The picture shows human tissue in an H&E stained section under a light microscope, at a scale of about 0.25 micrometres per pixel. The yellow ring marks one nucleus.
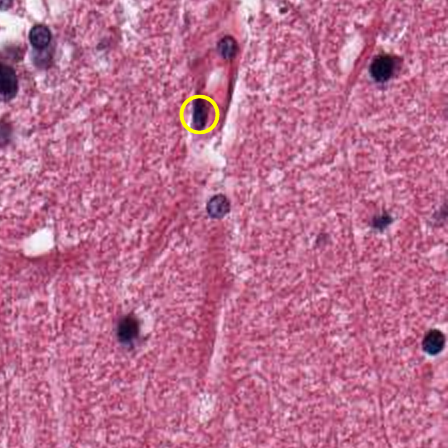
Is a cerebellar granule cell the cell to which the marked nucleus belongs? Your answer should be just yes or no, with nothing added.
no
